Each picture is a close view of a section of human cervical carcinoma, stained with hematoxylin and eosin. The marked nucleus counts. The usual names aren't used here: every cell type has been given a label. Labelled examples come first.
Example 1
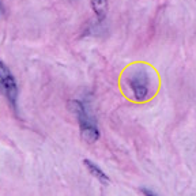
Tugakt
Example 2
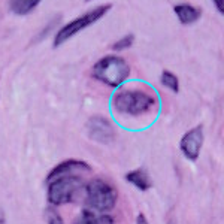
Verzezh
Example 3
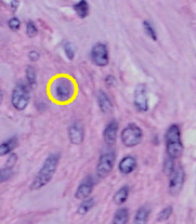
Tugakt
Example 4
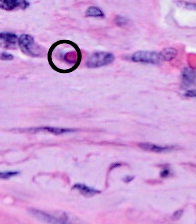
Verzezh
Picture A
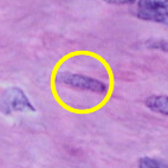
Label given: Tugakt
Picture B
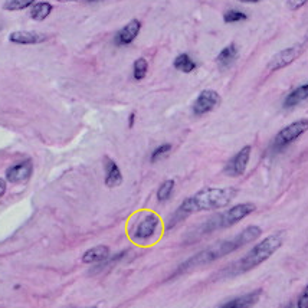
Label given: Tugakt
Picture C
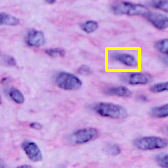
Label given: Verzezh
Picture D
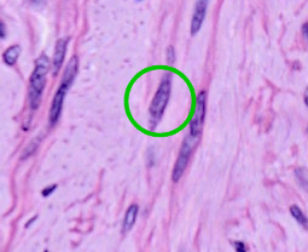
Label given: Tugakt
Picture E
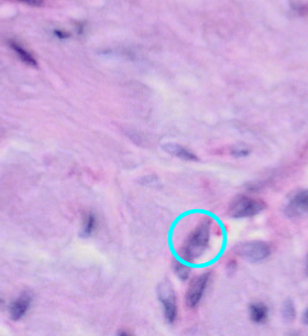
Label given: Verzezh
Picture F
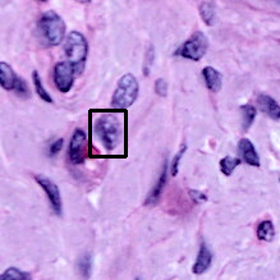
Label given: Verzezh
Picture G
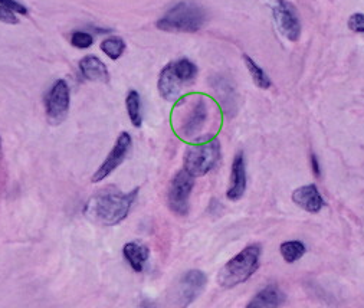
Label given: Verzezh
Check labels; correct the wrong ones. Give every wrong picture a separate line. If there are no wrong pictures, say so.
C is labelled Verzezh; correct label: Tugakt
